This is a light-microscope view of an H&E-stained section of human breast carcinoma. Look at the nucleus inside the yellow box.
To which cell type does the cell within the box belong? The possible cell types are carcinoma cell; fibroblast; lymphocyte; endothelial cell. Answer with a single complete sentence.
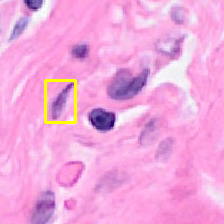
Placed in its cell category, the cell within the box is a fibroblast.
